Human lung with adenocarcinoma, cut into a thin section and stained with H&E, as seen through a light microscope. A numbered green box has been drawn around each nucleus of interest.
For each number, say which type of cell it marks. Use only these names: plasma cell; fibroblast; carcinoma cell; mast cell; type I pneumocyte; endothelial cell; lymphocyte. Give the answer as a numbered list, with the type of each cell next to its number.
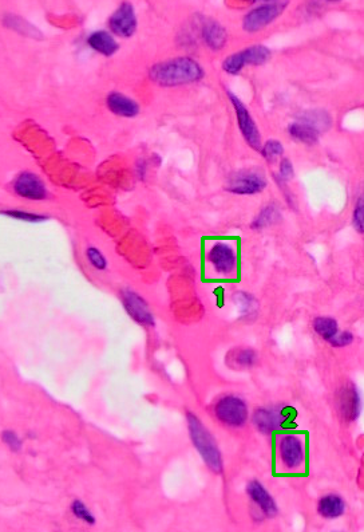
1. lymphocyte
2. mast cell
